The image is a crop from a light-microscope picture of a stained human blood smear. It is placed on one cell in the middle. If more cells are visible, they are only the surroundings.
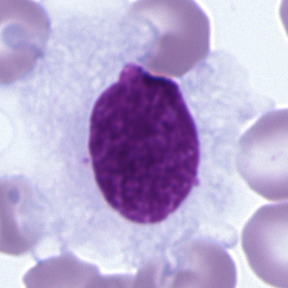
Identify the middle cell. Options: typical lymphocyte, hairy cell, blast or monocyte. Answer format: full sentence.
The middle of this crop is occupied by a hairy cell.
